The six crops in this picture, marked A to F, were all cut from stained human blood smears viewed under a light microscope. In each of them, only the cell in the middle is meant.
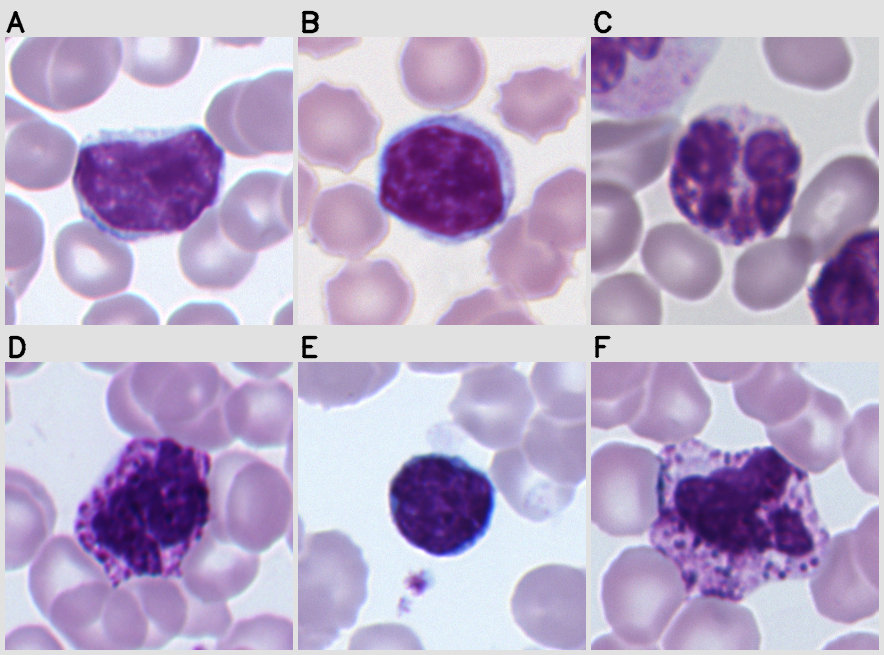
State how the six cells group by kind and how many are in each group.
typical lymphocyte: 3
basophil: 3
